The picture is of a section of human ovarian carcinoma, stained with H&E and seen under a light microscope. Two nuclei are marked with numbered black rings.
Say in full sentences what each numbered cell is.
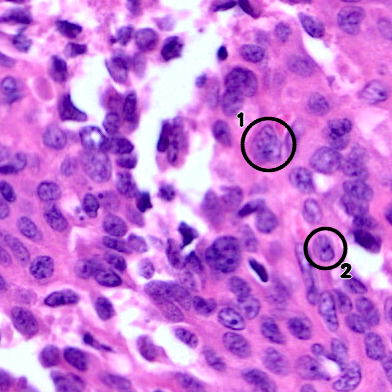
Cell 1 is an endothelial cell. Cell 2 is a macrophage or monocyte.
